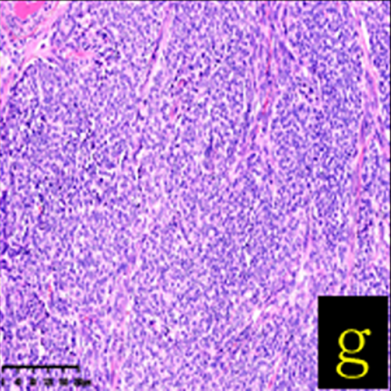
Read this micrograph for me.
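This is a densely cellular tumor made of crowded small cells with dark blue-purple nuclei and scant pale cytoplasm. The cells are packed closely into broad sheets and islands that fill most of the field. Thin pink strands of connective tissue run between the cell groups, mostly diagonally, and break them into nests. Small vessels with faint pink walls lie within these strands. The nuclei look fairly uniform and round to oval, and the overall pattern is diffuse rather than glandular.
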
